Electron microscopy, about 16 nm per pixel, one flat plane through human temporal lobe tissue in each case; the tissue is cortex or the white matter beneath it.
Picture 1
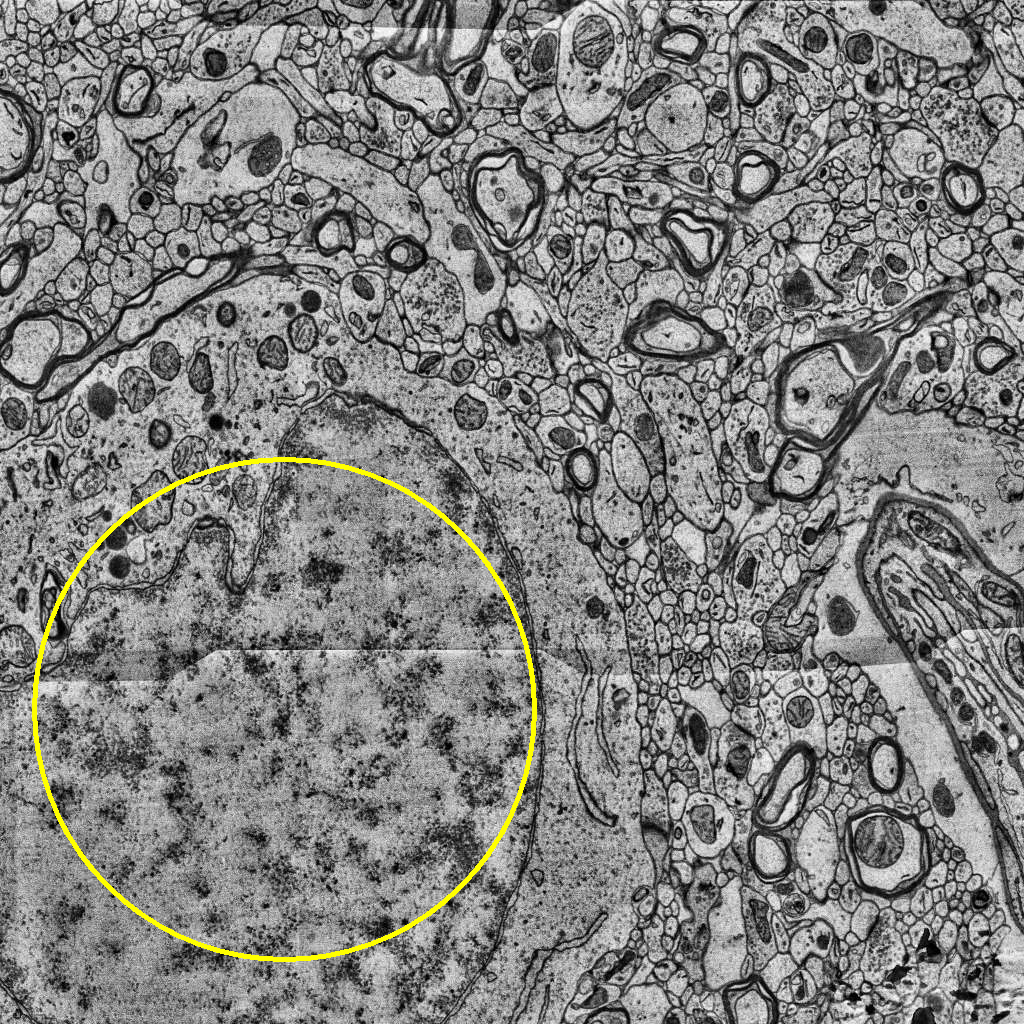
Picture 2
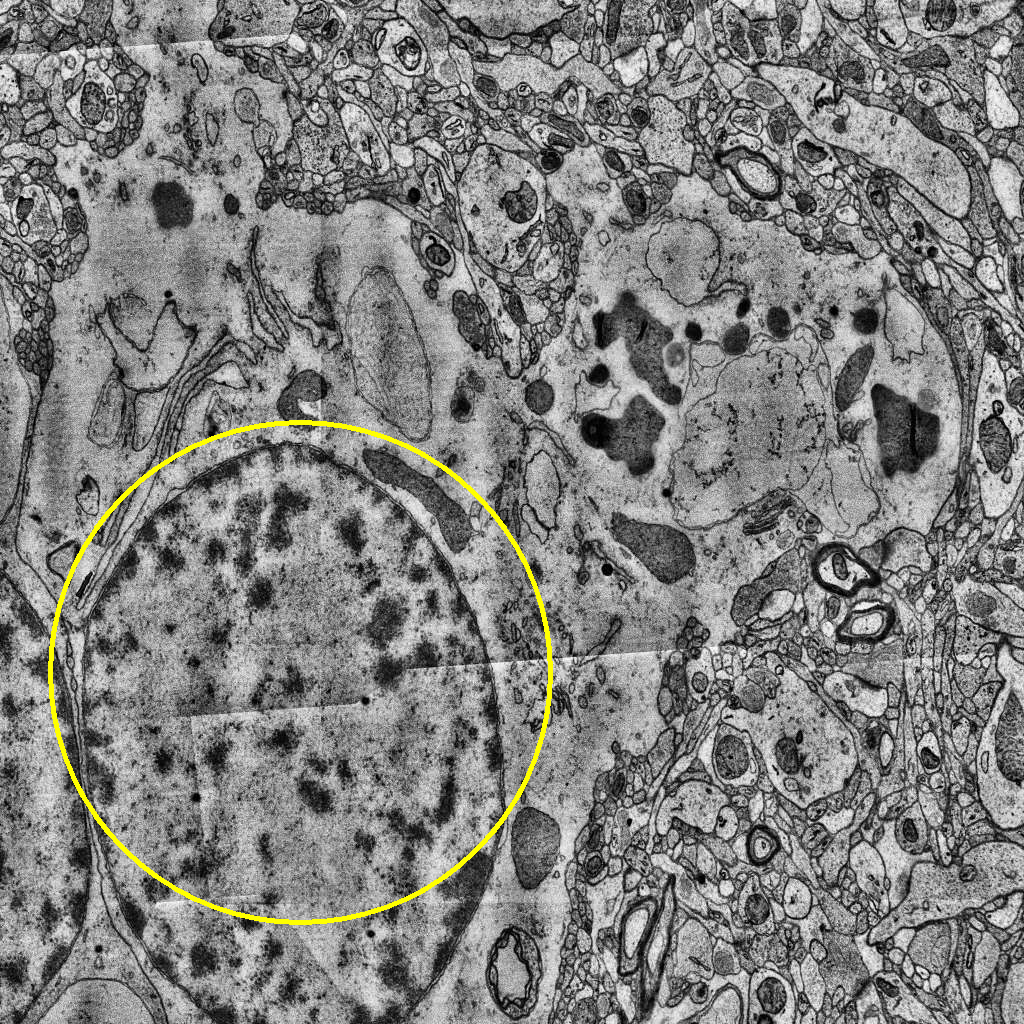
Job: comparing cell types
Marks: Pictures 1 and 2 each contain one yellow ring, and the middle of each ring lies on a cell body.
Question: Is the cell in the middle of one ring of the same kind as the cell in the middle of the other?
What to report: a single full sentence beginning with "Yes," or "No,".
No, the cell at the ring centre in Picture 1 and its partner in Picture 2 are of two kinds.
